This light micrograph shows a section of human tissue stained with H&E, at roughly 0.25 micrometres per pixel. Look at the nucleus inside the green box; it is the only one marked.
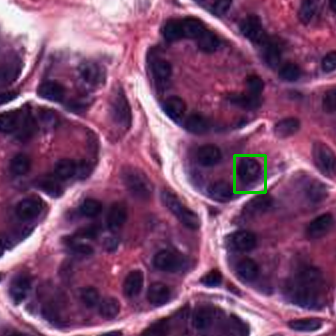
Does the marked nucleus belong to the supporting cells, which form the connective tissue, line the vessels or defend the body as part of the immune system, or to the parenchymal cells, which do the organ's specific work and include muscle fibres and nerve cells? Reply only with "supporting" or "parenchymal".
parenchymal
